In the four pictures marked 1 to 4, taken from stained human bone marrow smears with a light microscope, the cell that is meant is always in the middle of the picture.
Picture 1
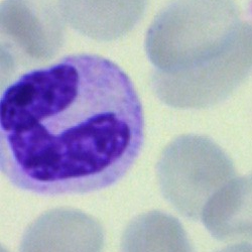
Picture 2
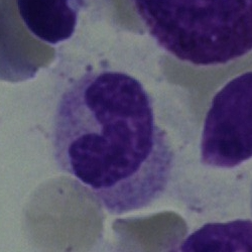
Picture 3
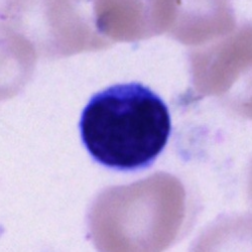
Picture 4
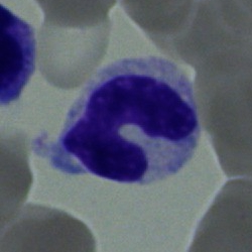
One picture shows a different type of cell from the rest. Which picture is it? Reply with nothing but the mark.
3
